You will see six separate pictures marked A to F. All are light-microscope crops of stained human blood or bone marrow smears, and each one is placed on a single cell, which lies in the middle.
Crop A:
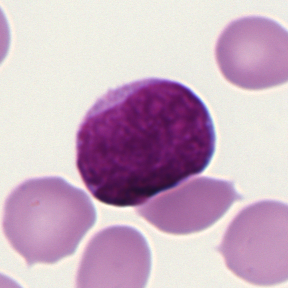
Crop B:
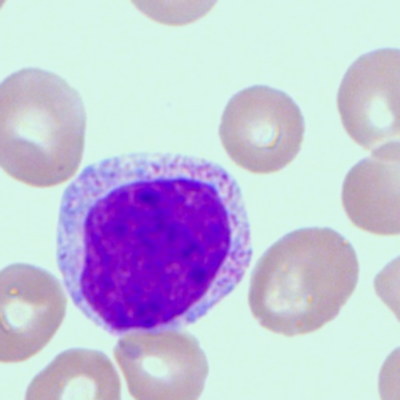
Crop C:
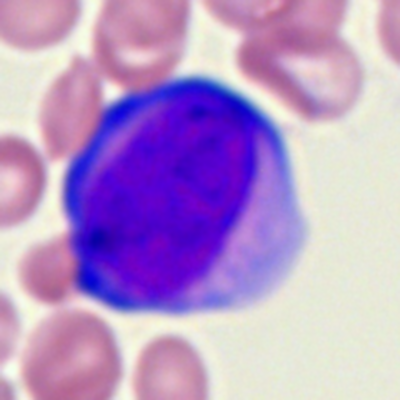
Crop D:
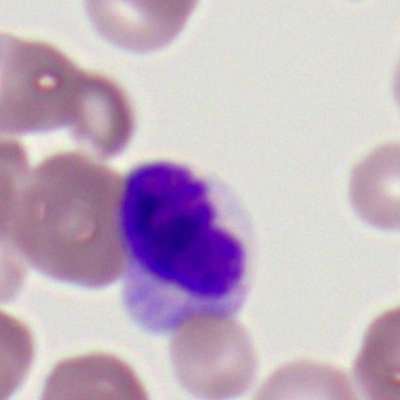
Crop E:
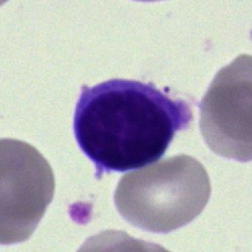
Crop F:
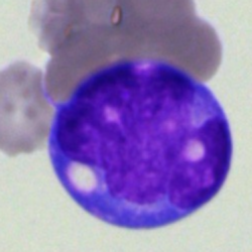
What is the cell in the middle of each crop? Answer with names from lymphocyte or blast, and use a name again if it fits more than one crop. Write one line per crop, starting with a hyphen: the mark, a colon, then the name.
- A: blast
- B: lymphocyte
- C: blast
- D: lymphocyte
- E: lymphocyte
- F: blast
